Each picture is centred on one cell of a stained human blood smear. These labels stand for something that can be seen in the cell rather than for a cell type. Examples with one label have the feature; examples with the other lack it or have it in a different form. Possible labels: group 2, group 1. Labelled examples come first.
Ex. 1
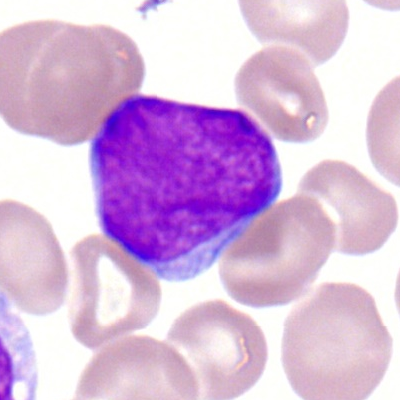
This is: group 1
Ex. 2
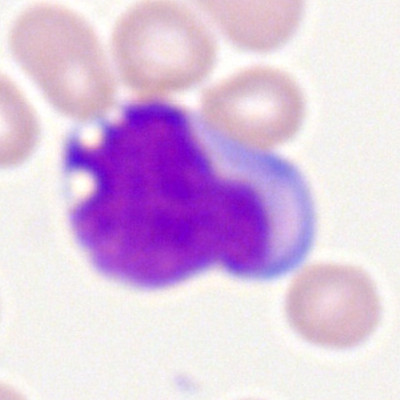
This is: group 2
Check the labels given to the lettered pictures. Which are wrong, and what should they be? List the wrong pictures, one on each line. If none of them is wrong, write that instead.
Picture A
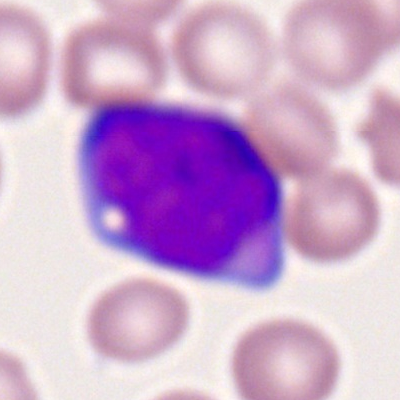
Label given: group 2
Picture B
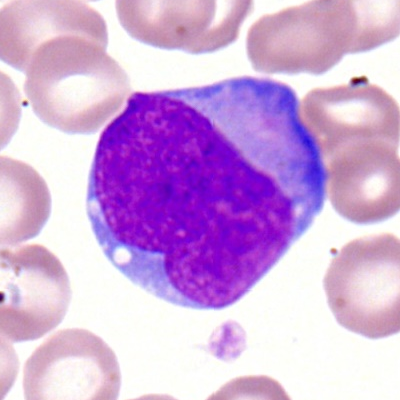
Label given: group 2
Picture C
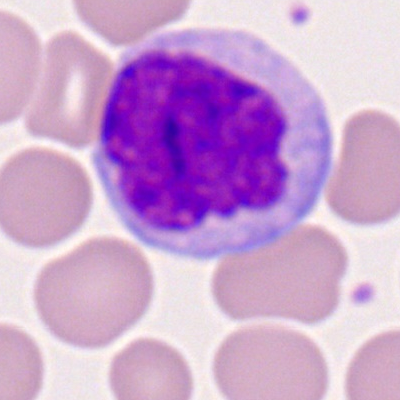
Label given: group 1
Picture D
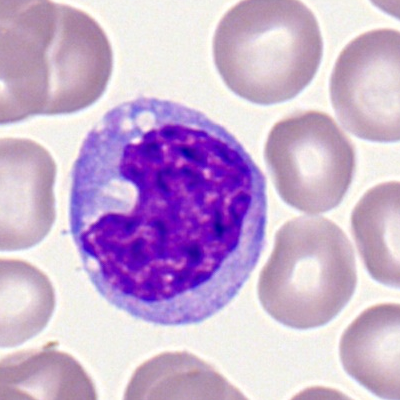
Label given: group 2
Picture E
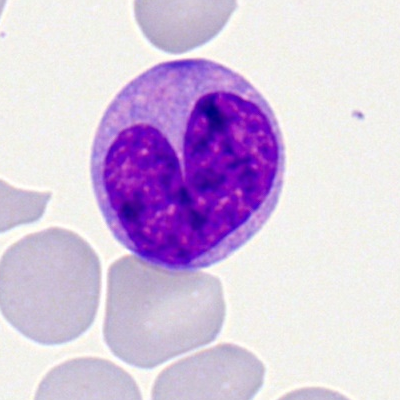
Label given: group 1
No label is wrong.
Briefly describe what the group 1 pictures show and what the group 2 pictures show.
group 1, no vacuoles; group 2, vacuoles present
